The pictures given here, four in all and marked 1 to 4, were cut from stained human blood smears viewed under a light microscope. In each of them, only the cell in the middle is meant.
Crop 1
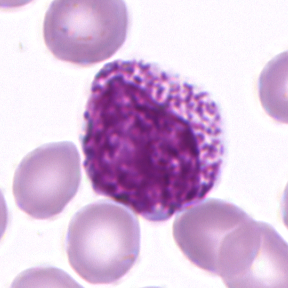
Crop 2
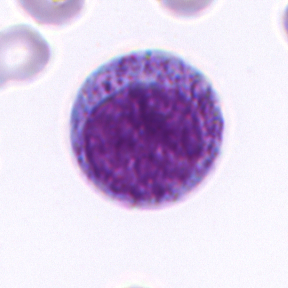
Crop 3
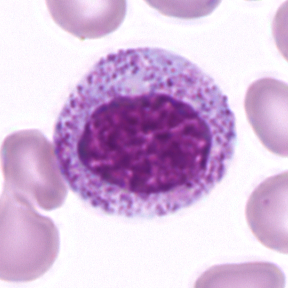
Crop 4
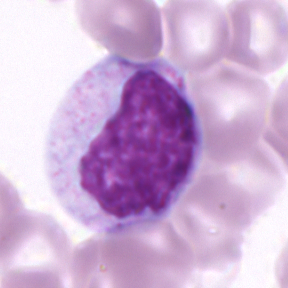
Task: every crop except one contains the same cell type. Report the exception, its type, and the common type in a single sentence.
The outlier here is crop 1, which is a metamyelocyte, while the remainder show myelocytes.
